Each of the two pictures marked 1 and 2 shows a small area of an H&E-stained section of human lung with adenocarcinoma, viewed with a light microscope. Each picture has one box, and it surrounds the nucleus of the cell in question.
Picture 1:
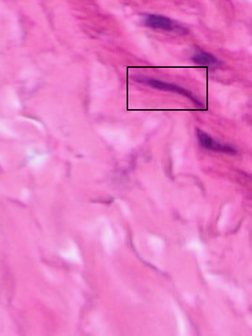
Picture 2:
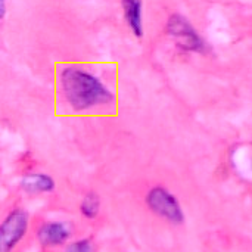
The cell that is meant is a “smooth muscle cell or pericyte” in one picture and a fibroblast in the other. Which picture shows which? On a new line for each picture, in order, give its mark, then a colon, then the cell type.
1: smooth muscle cell or pericyte
2: fibroblast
